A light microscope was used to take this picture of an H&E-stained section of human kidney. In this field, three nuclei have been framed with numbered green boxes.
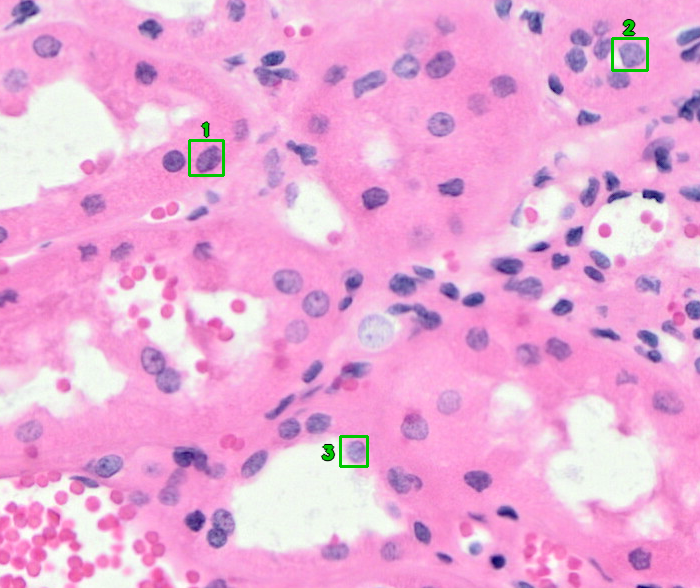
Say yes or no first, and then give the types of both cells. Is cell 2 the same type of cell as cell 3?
Yes, that is right: cells 2 and 3 are both loop of Henle or distal tubule cells.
